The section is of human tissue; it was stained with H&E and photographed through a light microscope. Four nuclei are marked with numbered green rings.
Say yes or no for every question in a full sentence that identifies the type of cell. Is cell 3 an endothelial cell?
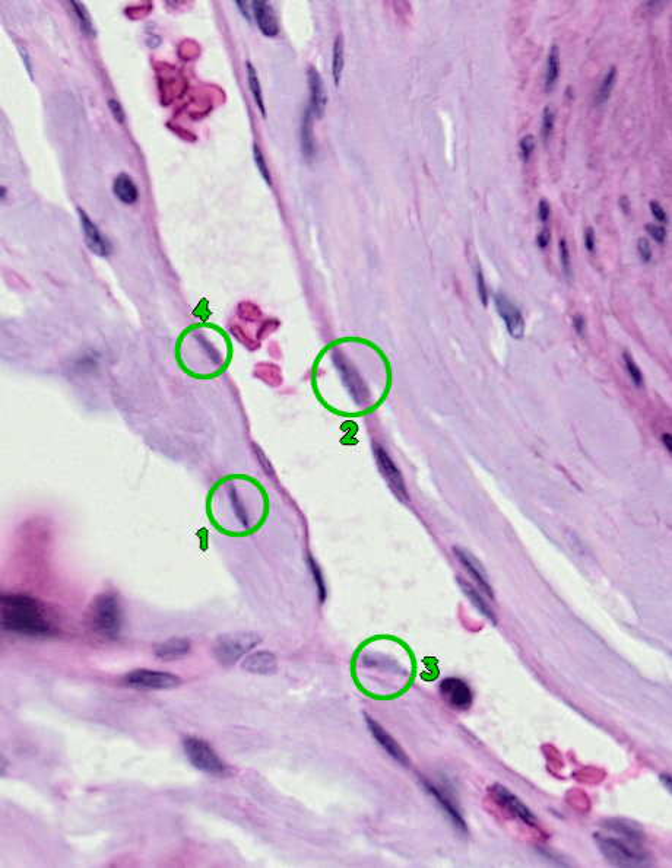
Yes, in this tissue section, number 3 is an endothelial cell.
